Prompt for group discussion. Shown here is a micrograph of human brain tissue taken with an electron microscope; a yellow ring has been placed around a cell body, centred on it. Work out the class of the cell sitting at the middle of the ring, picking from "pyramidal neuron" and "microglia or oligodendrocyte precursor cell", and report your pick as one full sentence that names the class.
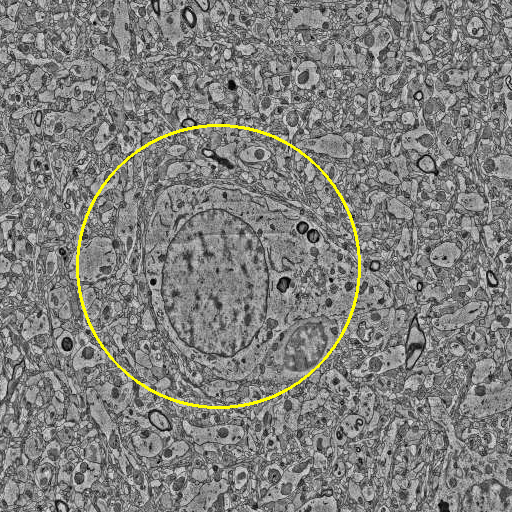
The cell sitting at the middle of the yellow ring is a pyramidal neuron.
